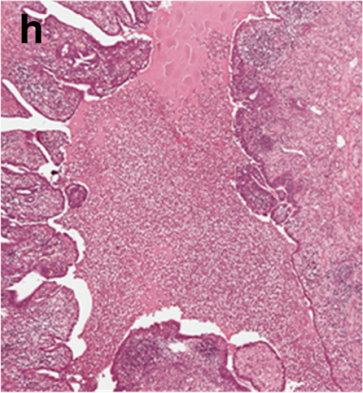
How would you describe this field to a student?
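This is the inside of the tube at higher power, and the middle of the field is filled by a loose, dense sheet of small cells whose dark nuclei give it a speckled purple-pink look; these are leukocytes filling the lumen. The cells are not arranged into any layer or gland; they lie free, as in an inflammatory exudate. Toward the top, a smooth, pale pink, glassy area without cells stands out, the amorphous material that accompanies the cells in the lumen. Along the left and lower edges lie irregular fragments of denser, more purple tissue that border the cell-filled space.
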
